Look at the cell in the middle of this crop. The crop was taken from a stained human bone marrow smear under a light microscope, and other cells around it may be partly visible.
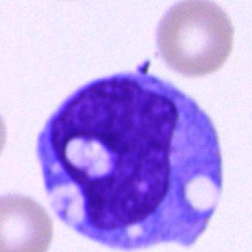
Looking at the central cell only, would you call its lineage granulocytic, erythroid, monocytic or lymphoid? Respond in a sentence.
The monocytic lineage is the lineage of the cell in the middle.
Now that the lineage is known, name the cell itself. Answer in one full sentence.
Among the cells in view, the one in the middle is a monocyte.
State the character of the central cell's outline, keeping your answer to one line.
The boundary of the cell runs irregularly, ragged in parts or drawn into projections.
